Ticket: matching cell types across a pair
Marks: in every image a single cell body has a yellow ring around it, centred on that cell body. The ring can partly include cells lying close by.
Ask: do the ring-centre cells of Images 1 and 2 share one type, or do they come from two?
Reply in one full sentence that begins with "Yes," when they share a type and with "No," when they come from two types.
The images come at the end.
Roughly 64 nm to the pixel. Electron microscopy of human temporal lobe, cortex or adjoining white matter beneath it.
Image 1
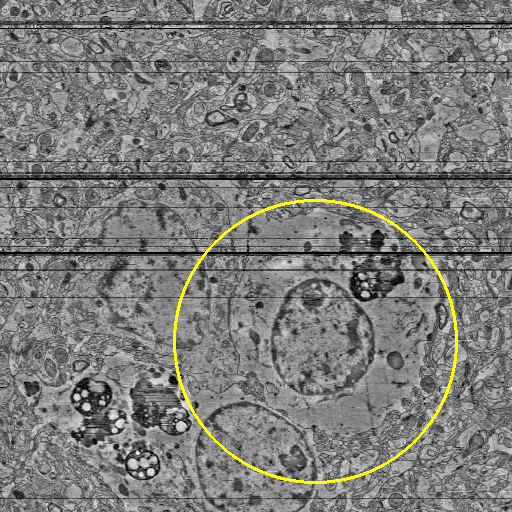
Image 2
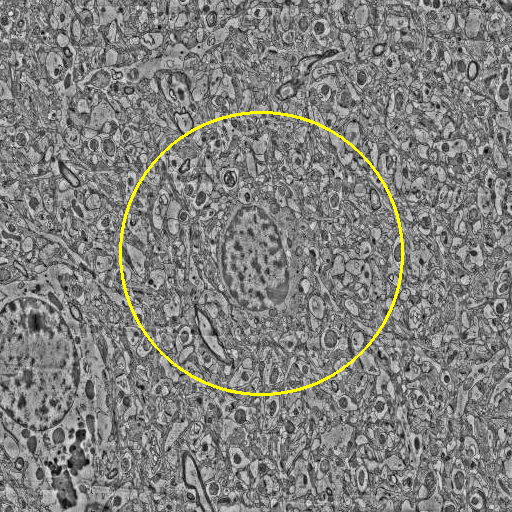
No, the cells in the centres of the rings in Image 1 and Image 2 come from two types.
